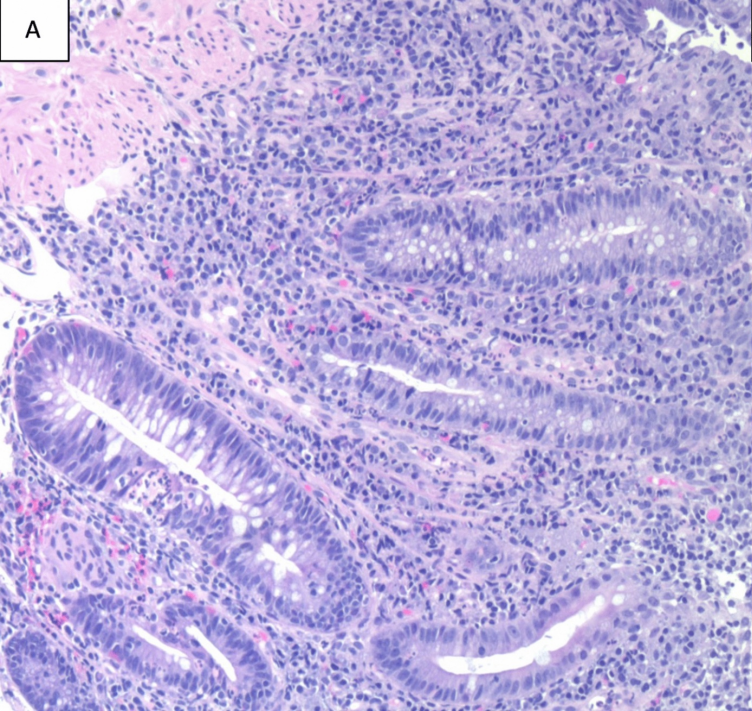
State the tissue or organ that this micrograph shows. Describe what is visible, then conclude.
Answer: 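Tubular crypts lined by columnar epithelium with goblet cell vacuoles. Crypts cut lengthwise lying in a cellular stroma.
Colon.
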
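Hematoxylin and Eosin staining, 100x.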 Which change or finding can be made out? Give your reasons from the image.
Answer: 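The stroma between crypts is densely packed with small round dark nuclei. Little loose stroma remains visible between the inflammatory cells.
Conclusion: increase in lympho-plasmacytes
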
